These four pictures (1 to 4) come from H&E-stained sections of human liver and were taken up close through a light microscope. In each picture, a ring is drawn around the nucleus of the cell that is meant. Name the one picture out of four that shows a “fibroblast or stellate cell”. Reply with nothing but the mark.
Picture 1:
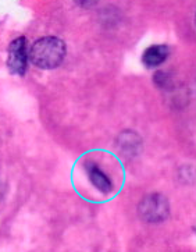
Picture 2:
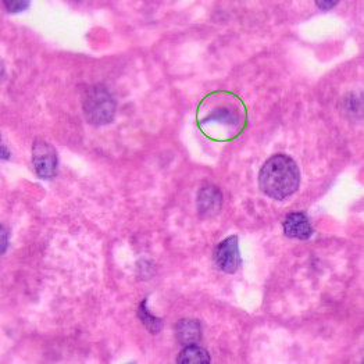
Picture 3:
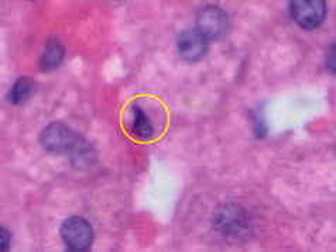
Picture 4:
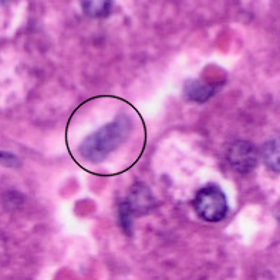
1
